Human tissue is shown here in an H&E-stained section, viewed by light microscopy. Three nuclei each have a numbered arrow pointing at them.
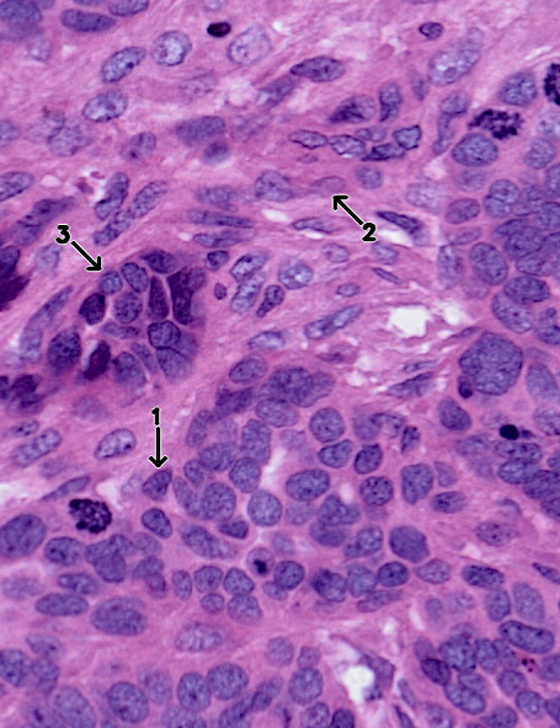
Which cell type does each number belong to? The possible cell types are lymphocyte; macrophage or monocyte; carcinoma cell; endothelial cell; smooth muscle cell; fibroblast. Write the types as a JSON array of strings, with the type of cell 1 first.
["carcinoma cell", "fibroblast", "carcinoma cell"]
